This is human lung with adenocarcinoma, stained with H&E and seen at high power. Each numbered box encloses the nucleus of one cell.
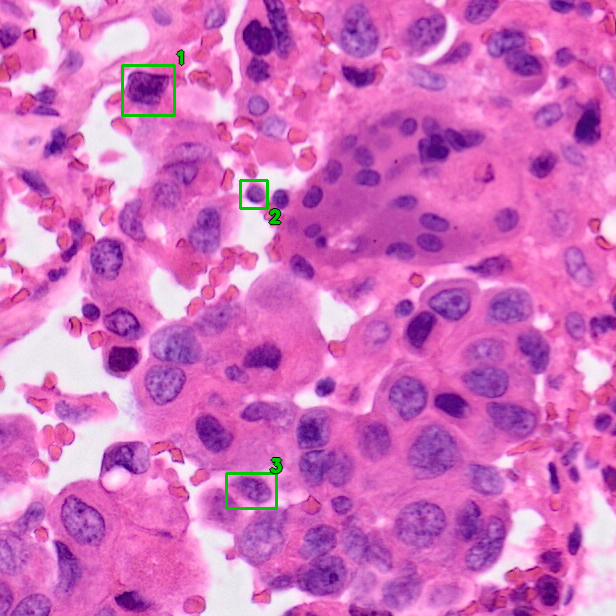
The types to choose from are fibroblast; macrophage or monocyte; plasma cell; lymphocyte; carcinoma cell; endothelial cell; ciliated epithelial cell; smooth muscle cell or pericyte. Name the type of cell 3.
carcinoma cell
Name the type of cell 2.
lymphocyte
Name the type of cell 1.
carcinoma cell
